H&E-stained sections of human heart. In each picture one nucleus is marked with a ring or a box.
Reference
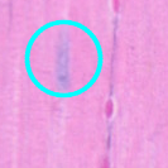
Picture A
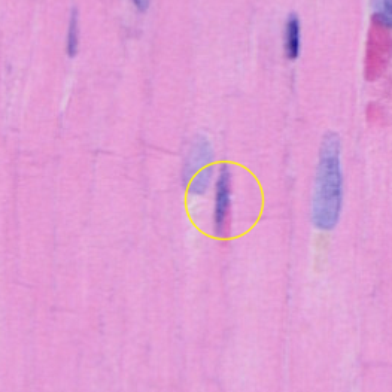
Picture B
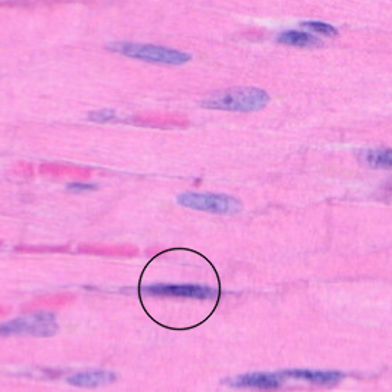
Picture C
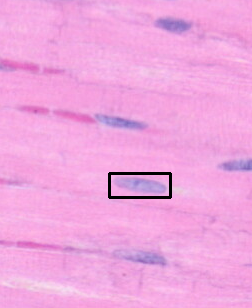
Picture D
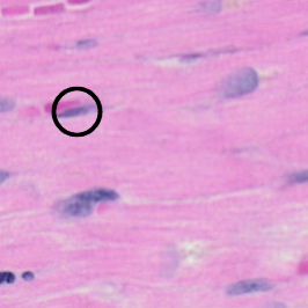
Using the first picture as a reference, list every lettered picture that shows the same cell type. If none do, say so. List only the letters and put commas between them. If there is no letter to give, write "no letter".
C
